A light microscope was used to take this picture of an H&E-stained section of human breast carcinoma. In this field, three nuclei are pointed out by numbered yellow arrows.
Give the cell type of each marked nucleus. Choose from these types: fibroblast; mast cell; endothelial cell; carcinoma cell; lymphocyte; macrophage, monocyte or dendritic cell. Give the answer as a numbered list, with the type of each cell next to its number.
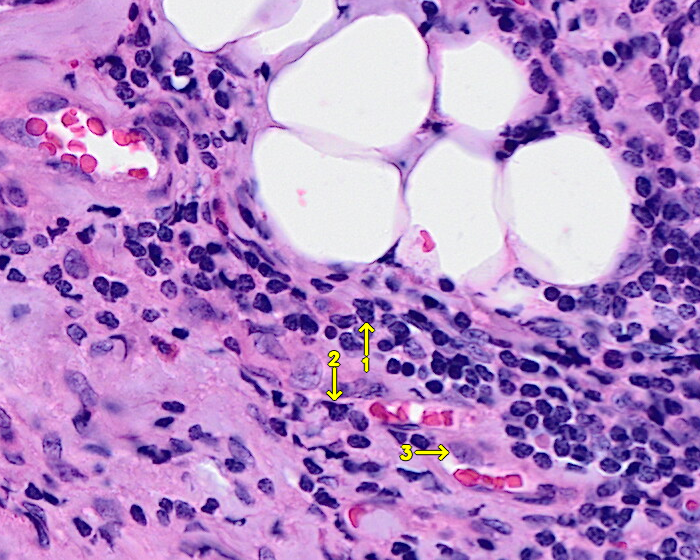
1. lymphocyte
2. lymphocyte
3. endothelial cell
